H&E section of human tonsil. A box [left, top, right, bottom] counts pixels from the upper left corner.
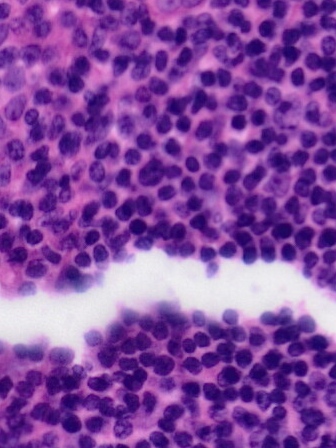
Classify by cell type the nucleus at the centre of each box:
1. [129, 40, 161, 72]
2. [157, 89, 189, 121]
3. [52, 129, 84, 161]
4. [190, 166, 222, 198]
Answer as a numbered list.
1. small lymphocyte
2. small lymphocyte
3. proliferating B cell
4. small lymphocyte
